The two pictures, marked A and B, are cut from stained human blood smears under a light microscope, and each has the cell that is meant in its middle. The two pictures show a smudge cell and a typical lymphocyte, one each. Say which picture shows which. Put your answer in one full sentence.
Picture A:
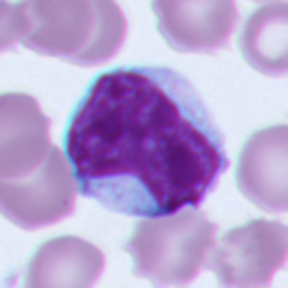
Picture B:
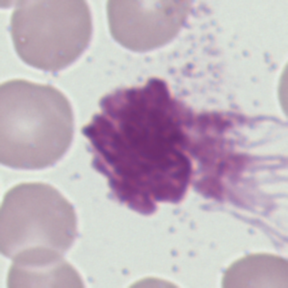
Picture B shows a smudge cell, while picture A shows a typical lymphocyte.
